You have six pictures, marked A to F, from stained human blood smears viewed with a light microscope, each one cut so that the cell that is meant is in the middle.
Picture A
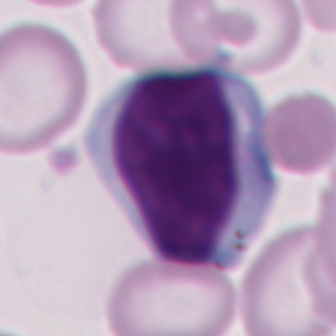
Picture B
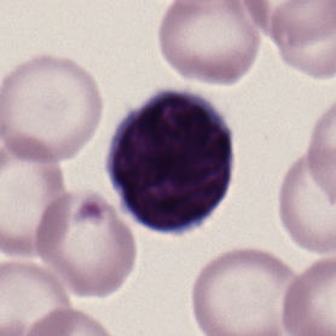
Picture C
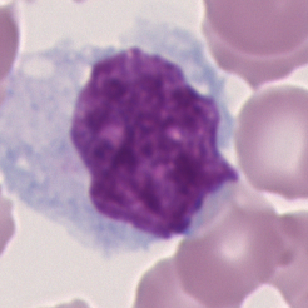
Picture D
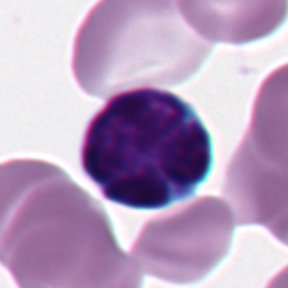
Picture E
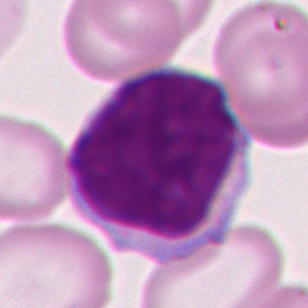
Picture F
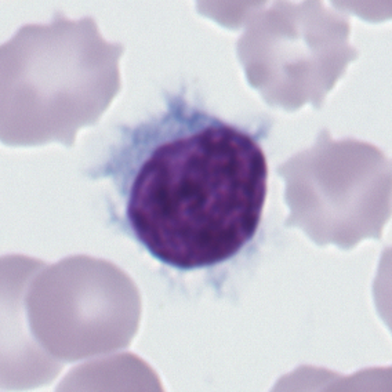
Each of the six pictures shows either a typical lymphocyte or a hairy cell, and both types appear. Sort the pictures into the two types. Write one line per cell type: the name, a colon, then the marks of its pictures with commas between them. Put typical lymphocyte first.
typical lymphocyte: A, B, D, E
hairy cell: C, F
